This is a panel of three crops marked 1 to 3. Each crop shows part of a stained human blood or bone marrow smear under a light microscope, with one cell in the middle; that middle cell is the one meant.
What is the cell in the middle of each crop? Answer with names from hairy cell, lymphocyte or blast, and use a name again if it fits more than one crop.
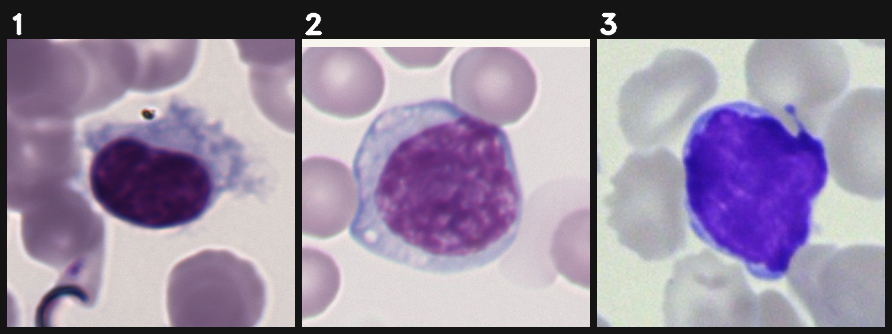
1: hairy cell
2: blast
3: lymphocyte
